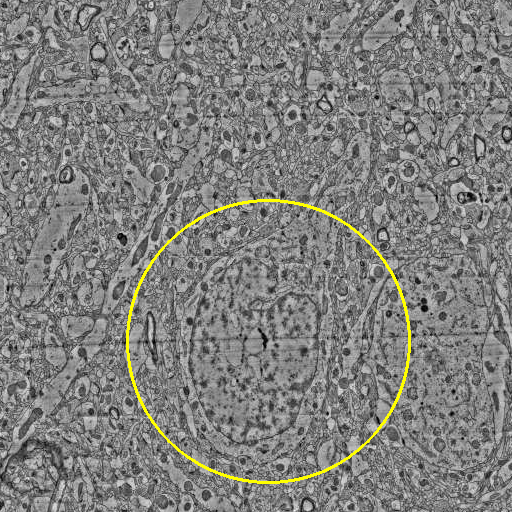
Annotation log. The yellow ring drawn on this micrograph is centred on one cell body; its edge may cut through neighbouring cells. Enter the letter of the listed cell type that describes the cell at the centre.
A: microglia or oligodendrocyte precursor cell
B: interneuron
B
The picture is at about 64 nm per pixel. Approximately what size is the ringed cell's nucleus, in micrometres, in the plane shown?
In this plane, about 11 micrometres in length and 8 in width.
